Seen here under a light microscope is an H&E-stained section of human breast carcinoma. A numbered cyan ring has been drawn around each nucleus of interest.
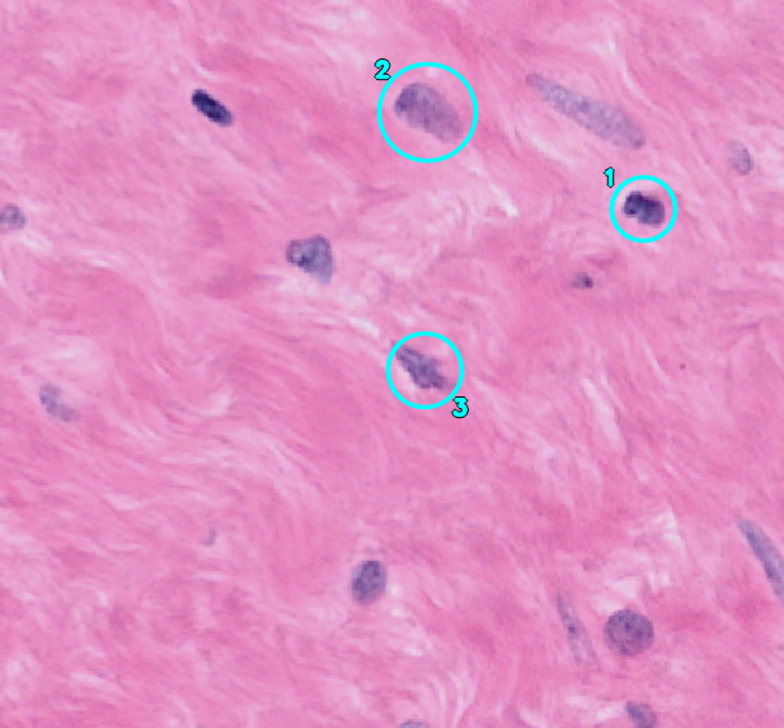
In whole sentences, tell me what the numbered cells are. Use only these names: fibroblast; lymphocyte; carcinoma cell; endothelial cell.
Cell 1 is a lymphocyte. Cells 2 and 3 are fibroblasts.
